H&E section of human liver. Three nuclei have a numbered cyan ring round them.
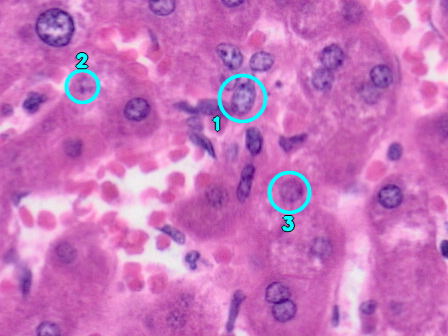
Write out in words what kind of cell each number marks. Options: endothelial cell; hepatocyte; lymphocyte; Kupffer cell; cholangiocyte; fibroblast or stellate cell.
Cell 1 is a cholangiocyte, cell 2 is a hepatocyte and cell 3 is a hepatocyte.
